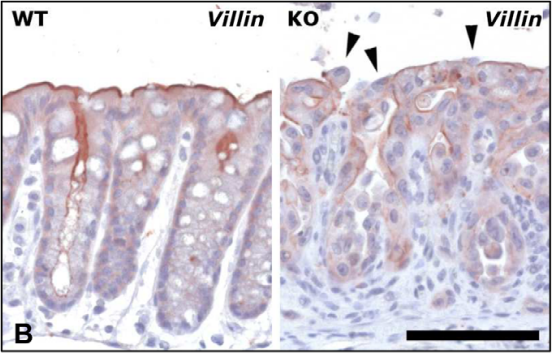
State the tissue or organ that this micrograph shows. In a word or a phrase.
Colon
